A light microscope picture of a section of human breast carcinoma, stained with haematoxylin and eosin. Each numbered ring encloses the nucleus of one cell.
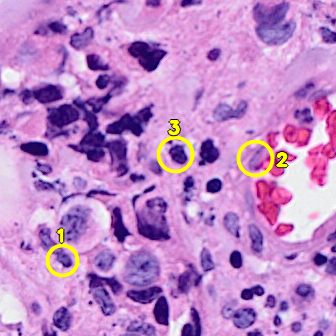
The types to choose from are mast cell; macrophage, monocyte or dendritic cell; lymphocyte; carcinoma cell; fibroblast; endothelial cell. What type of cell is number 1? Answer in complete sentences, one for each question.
Cell 1 in the field of view is a lymphocyte.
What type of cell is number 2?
At number 2, the marked cell is an endothelial cell.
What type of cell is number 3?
Classified as a lymphocyte is the cell with the number 3.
